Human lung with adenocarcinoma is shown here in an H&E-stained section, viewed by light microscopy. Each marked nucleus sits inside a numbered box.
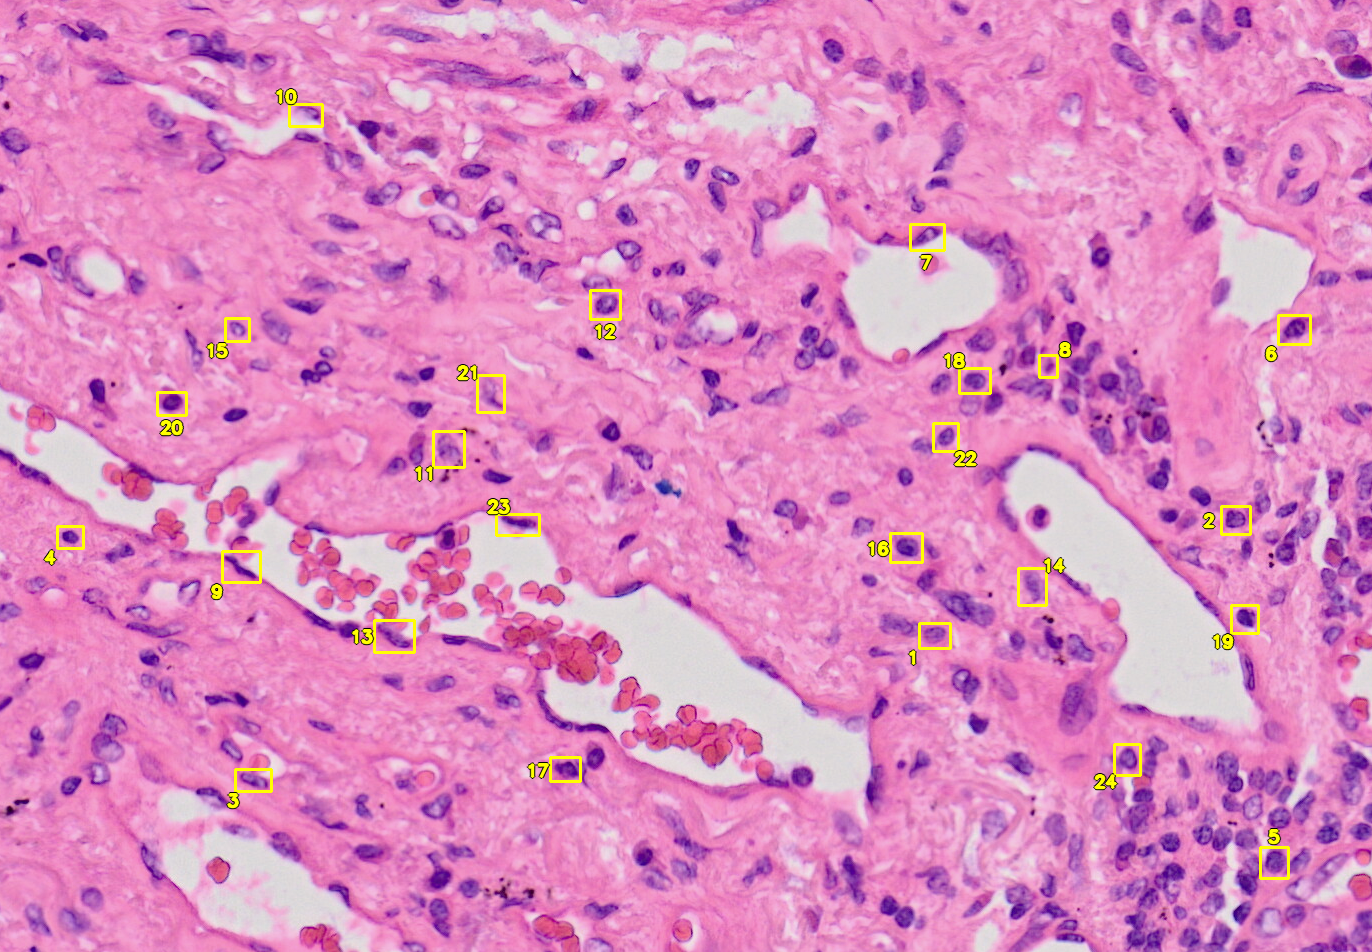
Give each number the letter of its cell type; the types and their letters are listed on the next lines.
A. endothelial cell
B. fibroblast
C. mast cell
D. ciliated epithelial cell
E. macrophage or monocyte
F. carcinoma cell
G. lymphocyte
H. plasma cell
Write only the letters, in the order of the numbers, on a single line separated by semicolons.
C; C; A; G; G; H; A; H; A; A; B; C; A; B; C; G; H; G; G; H; B; G; A; C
